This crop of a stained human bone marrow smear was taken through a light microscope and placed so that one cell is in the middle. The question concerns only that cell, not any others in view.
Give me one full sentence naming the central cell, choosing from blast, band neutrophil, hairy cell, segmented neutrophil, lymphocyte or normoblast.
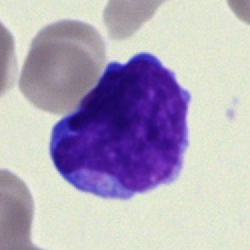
Present in the middle of the crop is a blast.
